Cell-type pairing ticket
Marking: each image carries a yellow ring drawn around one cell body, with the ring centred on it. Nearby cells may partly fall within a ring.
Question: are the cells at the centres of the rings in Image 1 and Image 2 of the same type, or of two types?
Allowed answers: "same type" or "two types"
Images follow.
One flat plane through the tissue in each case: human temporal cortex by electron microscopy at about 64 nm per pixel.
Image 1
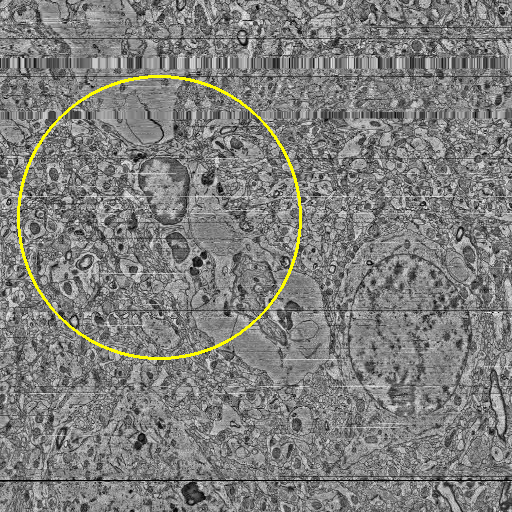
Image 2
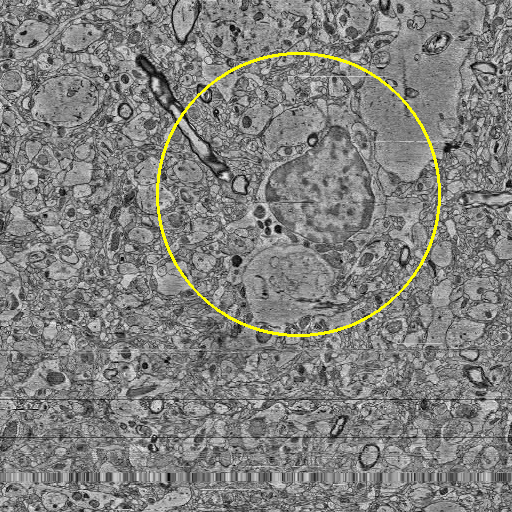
same type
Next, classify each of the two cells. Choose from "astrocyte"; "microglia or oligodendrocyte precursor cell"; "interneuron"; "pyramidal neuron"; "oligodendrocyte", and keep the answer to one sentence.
In both pictures the ring is centred on a microglial cell or oligodendrocyte precursor cell.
